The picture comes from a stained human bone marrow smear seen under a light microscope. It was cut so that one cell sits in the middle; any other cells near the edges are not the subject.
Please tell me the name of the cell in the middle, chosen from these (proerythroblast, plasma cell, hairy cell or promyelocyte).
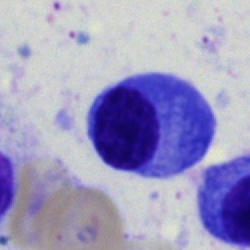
plasma cell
